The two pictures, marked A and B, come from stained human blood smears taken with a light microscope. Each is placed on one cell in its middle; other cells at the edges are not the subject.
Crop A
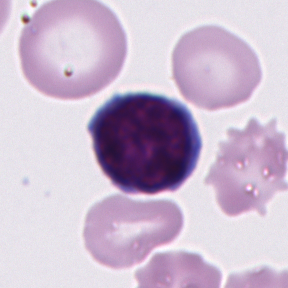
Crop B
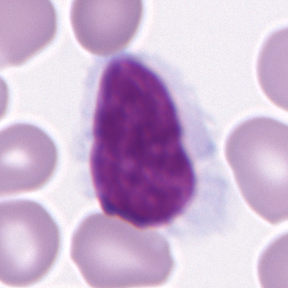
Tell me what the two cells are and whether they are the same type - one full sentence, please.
No: a typical lymphocyte sits in crop A, and a hairy cell sits in crop B.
